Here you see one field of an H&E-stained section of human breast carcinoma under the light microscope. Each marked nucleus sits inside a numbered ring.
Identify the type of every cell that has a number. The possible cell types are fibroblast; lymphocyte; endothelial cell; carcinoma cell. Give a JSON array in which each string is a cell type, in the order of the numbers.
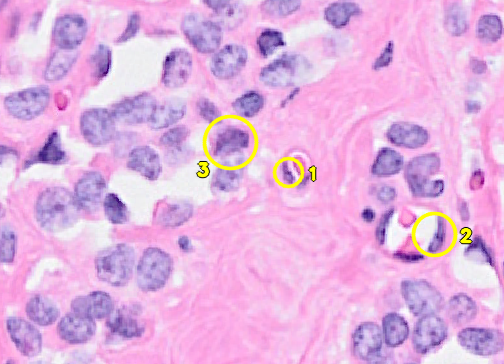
["endothelial cell", "endothelial cell", "carcinoma cell"]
